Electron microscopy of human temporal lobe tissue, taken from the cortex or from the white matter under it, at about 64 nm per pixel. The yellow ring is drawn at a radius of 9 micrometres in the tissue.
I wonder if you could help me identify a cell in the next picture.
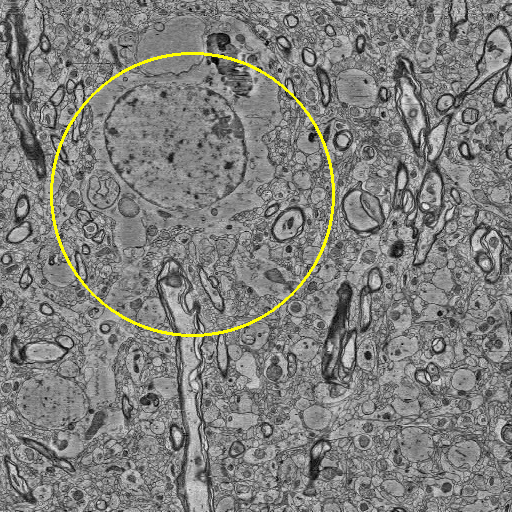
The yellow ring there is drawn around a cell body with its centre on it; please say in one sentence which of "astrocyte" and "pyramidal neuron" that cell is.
The yellow ring is centred on an astrocyte.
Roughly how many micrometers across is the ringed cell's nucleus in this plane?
Approximately 9 micrometres across, in this plane.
